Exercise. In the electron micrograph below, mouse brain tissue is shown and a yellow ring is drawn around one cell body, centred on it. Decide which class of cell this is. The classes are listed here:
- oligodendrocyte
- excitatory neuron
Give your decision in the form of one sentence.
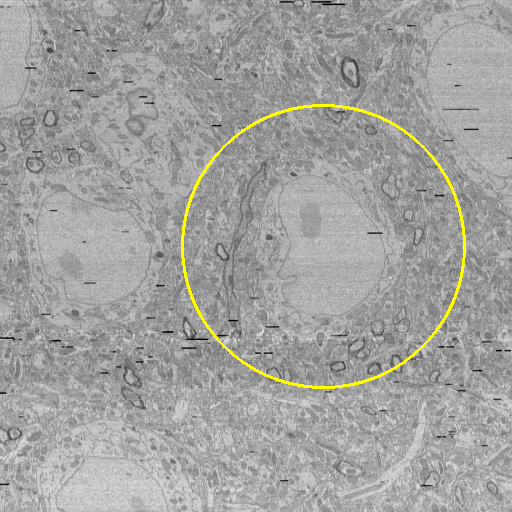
The cell body marked by the ring belongs to an excitatory neuron.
